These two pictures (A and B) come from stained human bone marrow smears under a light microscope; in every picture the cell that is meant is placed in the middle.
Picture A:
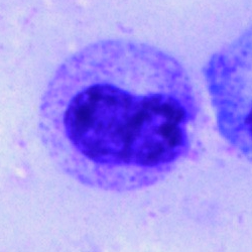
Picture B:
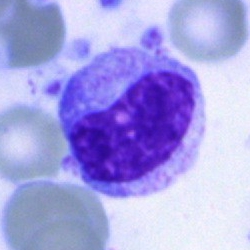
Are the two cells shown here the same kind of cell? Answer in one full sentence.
Yes, they are the same type: both are metamyelocytes.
